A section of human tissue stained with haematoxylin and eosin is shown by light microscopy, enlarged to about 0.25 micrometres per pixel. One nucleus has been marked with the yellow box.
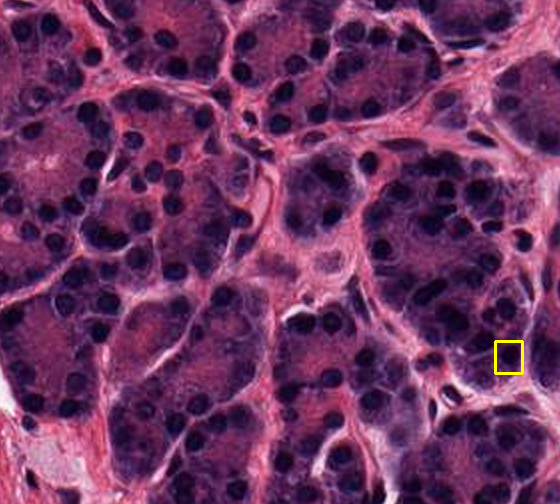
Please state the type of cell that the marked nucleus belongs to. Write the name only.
pancreatic acinar cell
